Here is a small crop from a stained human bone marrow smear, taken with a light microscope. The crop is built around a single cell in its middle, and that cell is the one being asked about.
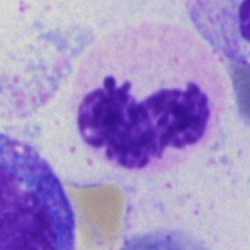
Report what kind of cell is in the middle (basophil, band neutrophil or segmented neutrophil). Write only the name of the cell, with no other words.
segmented neutrophil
